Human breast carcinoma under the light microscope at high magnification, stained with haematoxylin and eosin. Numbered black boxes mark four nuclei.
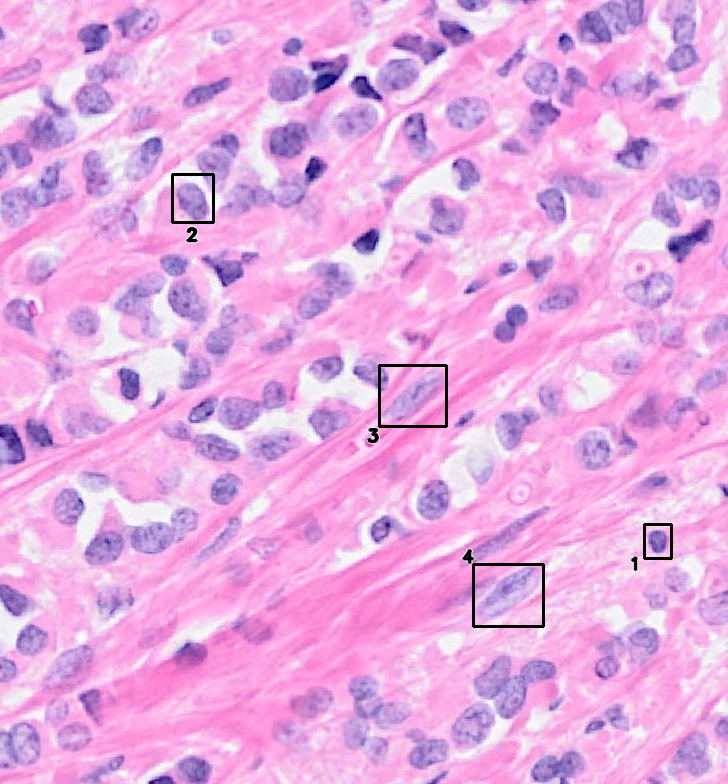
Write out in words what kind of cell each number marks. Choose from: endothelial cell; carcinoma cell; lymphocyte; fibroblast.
Cell 1 is a lymphocyte. Cell 2 is a carcinoma cell. Cell 3 is an endothelial cell. Cell 4 is a fibroblast.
